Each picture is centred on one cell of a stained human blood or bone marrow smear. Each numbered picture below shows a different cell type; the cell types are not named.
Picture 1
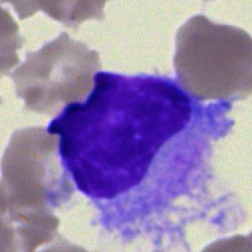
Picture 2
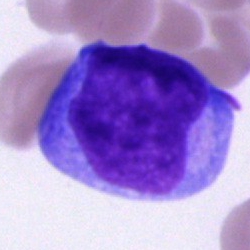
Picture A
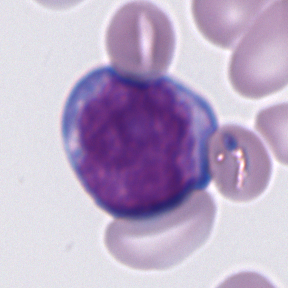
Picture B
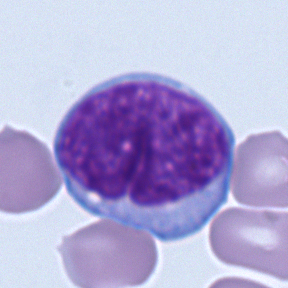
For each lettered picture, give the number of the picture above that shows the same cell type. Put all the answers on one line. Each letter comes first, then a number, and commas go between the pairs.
A 2, B 2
